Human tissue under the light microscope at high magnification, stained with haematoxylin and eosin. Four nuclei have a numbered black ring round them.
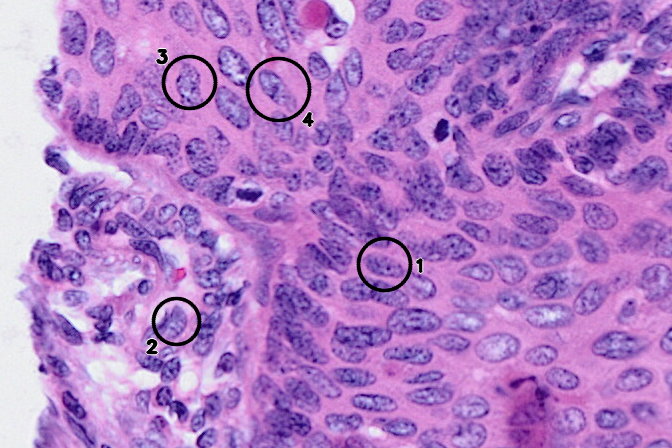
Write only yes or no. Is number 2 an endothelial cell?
yes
